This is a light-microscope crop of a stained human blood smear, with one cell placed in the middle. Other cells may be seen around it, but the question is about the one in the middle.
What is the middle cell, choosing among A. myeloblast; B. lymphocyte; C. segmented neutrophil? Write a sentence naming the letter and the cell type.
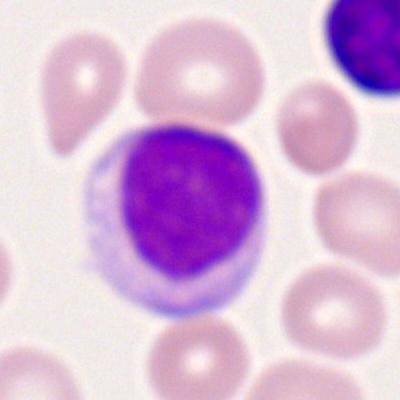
Option B gives the correct identity of the central cell, namely a lymphocyte.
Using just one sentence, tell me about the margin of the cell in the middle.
The outline traces a smooth curve with no projections along it.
